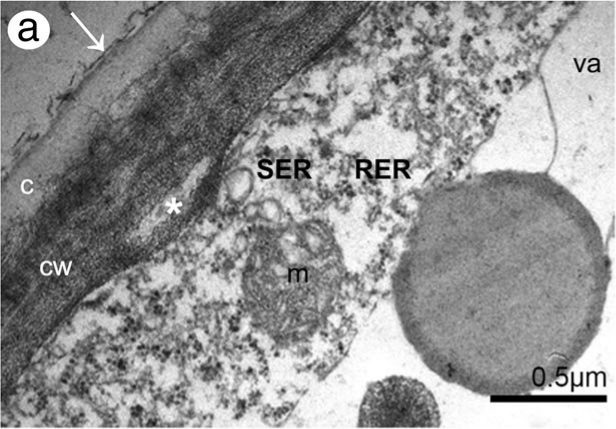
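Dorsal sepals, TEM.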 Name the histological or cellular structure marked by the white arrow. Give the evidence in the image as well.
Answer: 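The arrow points to thin, sparse material lying on the outer surface of the pale cuticle layer.
Answer: exudates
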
